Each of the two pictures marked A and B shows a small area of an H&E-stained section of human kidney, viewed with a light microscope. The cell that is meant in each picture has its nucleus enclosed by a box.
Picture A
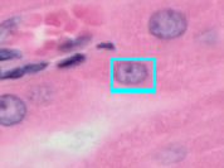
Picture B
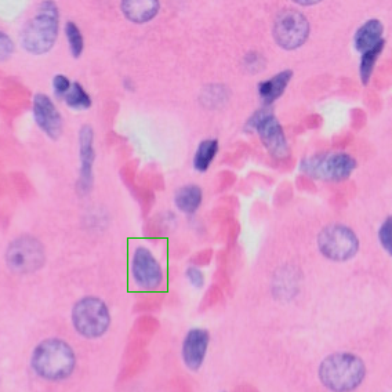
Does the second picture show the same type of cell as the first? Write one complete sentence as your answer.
No, the types are not the same, since picture A shows a proximal tubule cell and picture B an endothelial cell.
